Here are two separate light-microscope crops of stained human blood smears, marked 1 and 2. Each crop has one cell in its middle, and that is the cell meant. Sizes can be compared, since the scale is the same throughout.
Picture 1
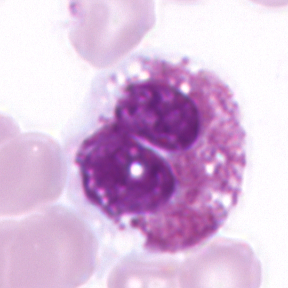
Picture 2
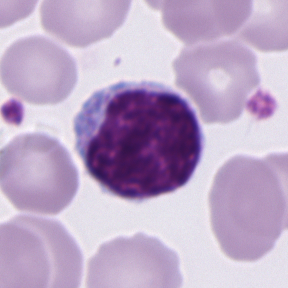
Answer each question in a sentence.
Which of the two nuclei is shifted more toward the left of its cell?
The nucleus in picture 1 lies further toward the left of its cell.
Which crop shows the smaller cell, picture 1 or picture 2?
Smaller is the cell in picture 2, and the other is about 2 times as large in area.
